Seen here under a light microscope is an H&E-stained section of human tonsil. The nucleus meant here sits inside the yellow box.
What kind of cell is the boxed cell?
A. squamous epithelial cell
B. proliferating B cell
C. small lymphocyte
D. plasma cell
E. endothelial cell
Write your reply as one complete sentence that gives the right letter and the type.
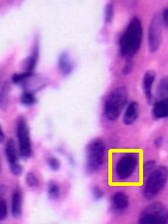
Option A names it right: the boxed cell is a squamous epithelial cell.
